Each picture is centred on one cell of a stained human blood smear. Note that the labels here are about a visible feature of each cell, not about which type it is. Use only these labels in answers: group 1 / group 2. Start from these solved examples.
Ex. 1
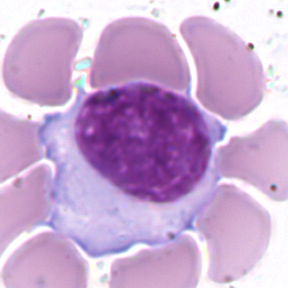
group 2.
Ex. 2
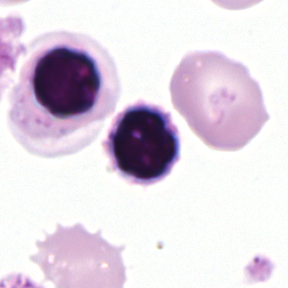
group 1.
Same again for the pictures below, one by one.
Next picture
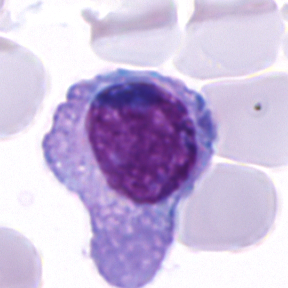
group 2.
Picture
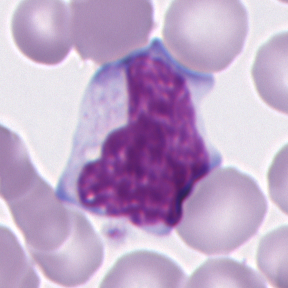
group 2.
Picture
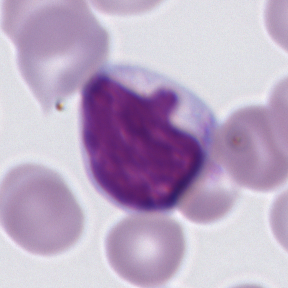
group 1.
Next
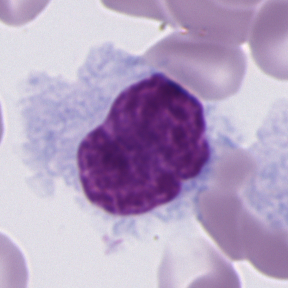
group 2.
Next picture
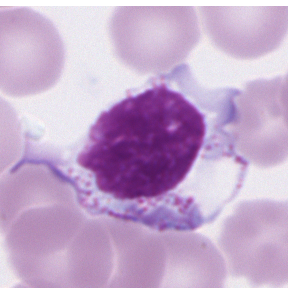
group 2.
